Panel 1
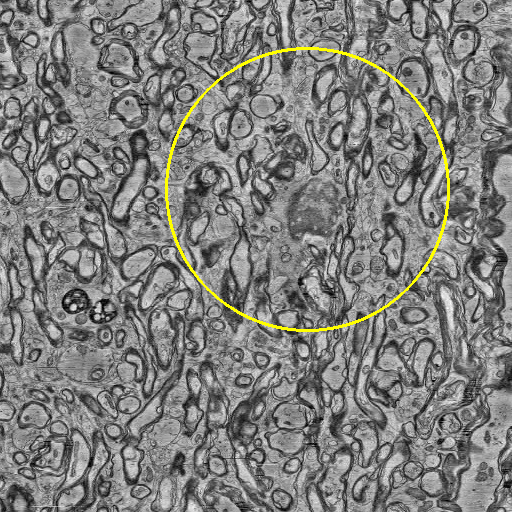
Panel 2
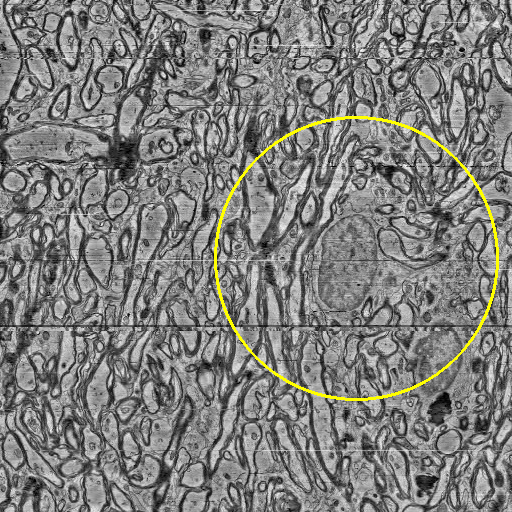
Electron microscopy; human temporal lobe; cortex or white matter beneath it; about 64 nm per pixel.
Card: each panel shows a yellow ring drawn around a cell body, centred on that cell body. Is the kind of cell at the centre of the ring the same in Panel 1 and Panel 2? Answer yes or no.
yes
